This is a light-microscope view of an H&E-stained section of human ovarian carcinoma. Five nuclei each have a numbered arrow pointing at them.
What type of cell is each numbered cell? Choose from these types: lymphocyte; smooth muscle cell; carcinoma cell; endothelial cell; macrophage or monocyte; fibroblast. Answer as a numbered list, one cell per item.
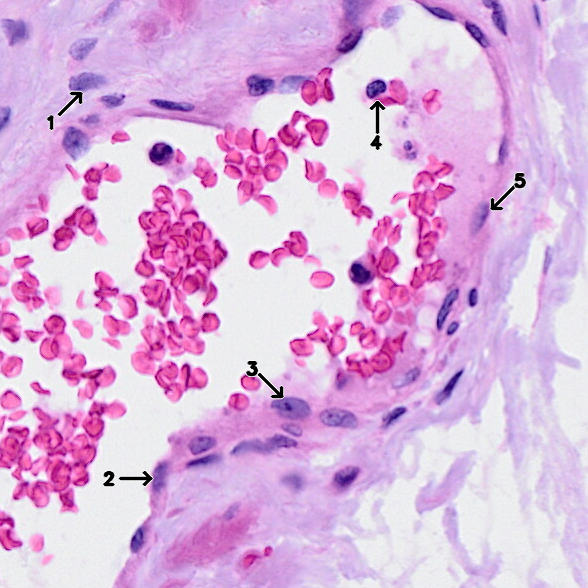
1. fibroblast
2. endothelial cell
3. endothelial cell
4. lymphocyte
5. endothelial cell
